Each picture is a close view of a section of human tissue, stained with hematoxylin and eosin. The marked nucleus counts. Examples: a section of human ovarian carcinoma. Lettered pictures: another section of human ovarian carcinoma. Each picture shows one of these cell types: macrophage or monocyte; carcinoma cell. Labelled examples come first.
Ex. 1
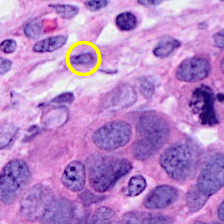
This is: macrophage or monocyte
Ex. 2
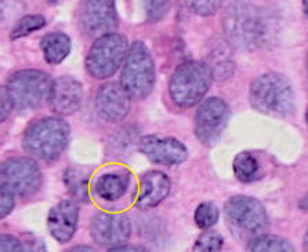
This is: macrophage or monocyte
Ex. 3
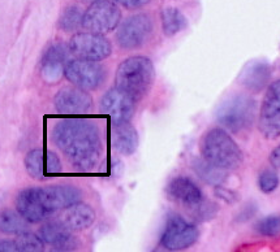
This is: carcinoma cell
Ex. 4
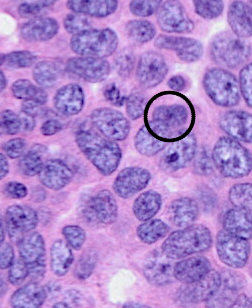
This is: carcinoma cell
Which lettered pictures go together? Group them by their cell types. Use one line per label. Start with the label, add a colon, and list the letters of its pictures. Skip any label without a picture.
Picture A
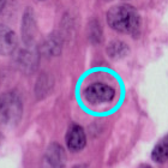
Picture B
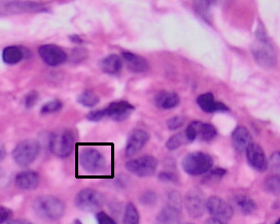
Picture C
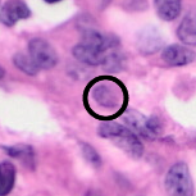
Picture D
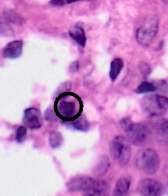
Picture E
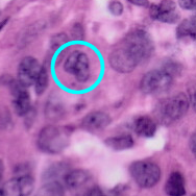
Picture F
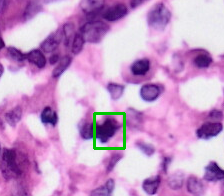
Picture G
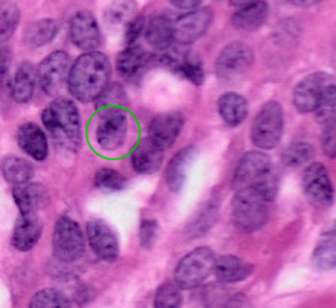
macrophage or monocyte: A, B, C, E, G
carcinoma cell: D, F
